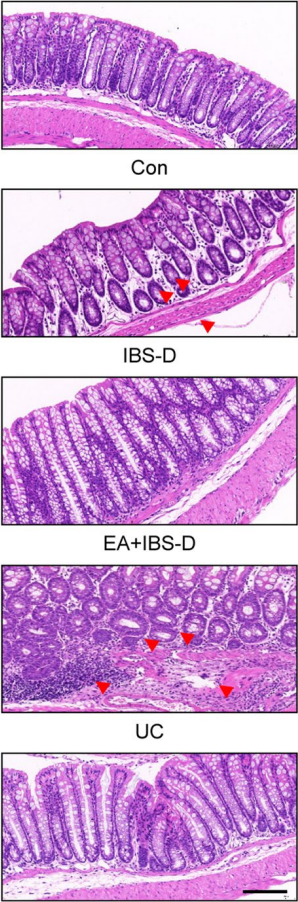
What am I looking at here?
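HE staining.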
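Colon wall in a stack of sections stained pink and purple. In most images the mucosa is made of long, straight, parallel crypts. Their epithelium is crowded with pale, rounded goblet cells, and the basal nuclei are purple. Beneath lies a thin submucosa and a band of pink smooth muscle. In one image the crypts are irregular and spaced apart. Dense sheets of small dark round nuclei fill the lamina propria there and spread toward the submucosa. Arrowheads mark these areas. In another image arrowheads lie near the muscle layer, which looks thin, and the crypts are less regular.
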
